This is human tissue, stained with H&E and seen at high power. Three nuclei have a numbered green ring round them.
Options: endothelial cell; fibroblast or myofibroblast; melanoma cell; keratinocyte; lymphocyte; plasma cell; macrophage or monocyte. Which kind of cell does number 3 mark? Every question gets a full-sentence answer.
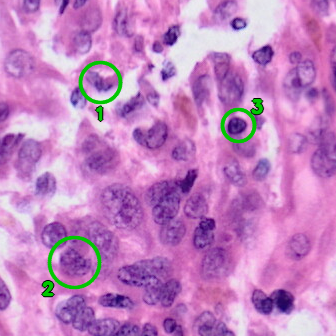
At number 3, the marked cell is a lymphocyte.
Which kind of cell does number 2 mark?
The numeral 2 marks a melanoma cell in this section.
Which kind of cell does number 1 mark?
Cell 1, as marked in the section, is a melanoma cell.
